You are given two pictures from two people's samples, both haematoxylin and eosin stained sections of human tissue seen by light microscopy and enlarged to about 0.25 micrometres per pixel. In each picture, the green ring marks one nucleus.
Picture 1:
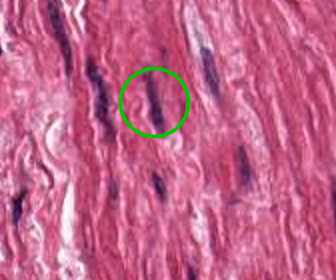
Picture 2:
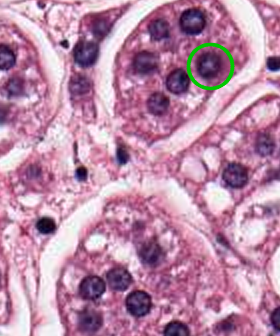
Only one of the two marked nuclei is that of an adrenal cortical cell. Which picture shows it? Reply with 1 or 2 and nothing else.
2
